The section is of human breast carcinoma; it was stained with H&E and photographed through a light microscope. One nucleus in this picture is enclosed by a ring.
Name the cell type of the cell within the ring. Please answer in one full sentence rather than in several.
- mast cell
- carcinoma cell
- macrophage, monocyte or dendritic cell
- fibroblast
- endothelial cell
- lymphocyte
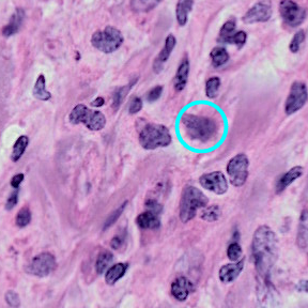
Speaking plainly, the cell within the ring is nothing other than a macrophage, monocyte or dendritic cell.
